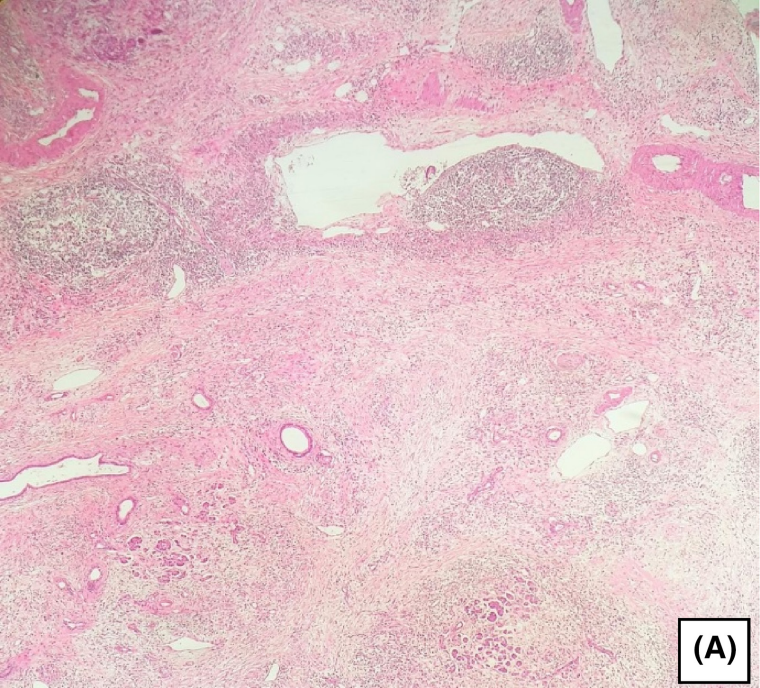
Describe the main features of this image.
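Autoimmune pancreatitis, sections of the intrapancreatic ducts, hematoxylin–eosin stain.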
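Low-power pancreas largely replaced by pale pink fibrous stroma, with several dense dark-purple inflammatory cell aggregates clustered around open lumina. Small islands of residual glandular tissue remain in the lower part, and scattered vessels and lumina lie within the fibrosis.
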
